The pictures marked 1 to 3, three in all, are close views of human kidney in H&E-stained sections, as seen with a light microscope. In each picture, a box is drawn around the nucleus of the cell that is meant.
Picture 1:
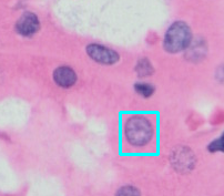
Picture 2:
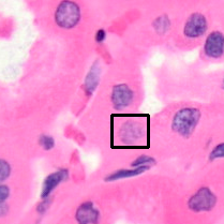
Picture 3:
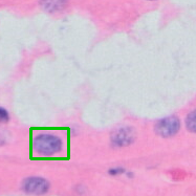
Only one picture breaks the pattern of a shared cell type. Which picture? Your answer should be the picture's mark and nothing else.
1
